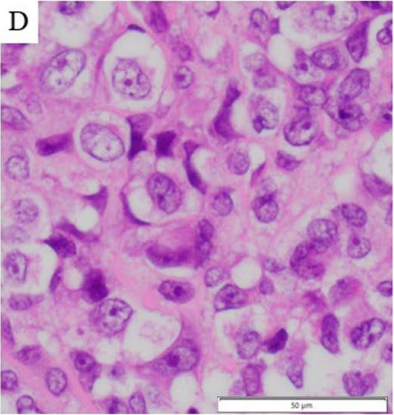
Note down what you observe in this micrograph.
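This is a tumor made of sheets of large tumor cells packed closely together. The cells have large oval to irregular nuclei with fine chromatin and conspicuous nucleoli, some nuclei dark and hyperchromatic, and a moderate amount of pale pink to clear cytoplasm. No keratin, glands or rosettes are formed.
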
